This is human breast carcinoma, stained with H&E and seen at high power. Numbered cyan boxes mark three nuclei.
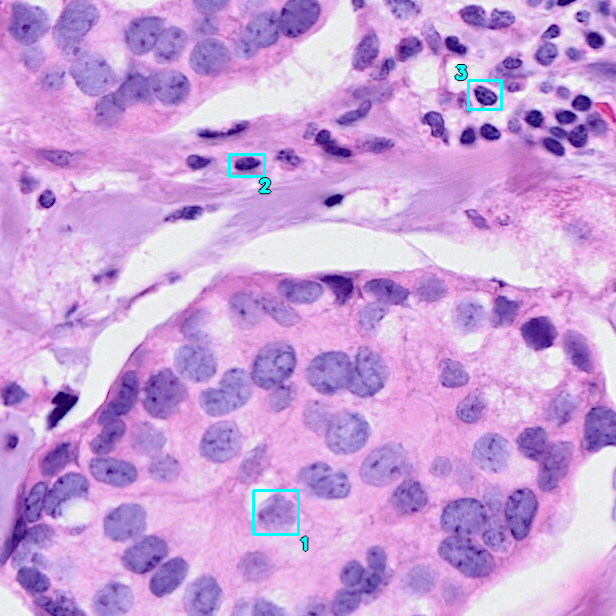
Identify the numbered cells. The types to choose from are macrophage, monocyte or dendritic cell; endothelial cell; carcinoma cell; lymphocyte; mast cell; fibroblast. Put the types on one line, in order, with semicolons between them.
carcinoma cell; lymphocyte; lymphocyte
